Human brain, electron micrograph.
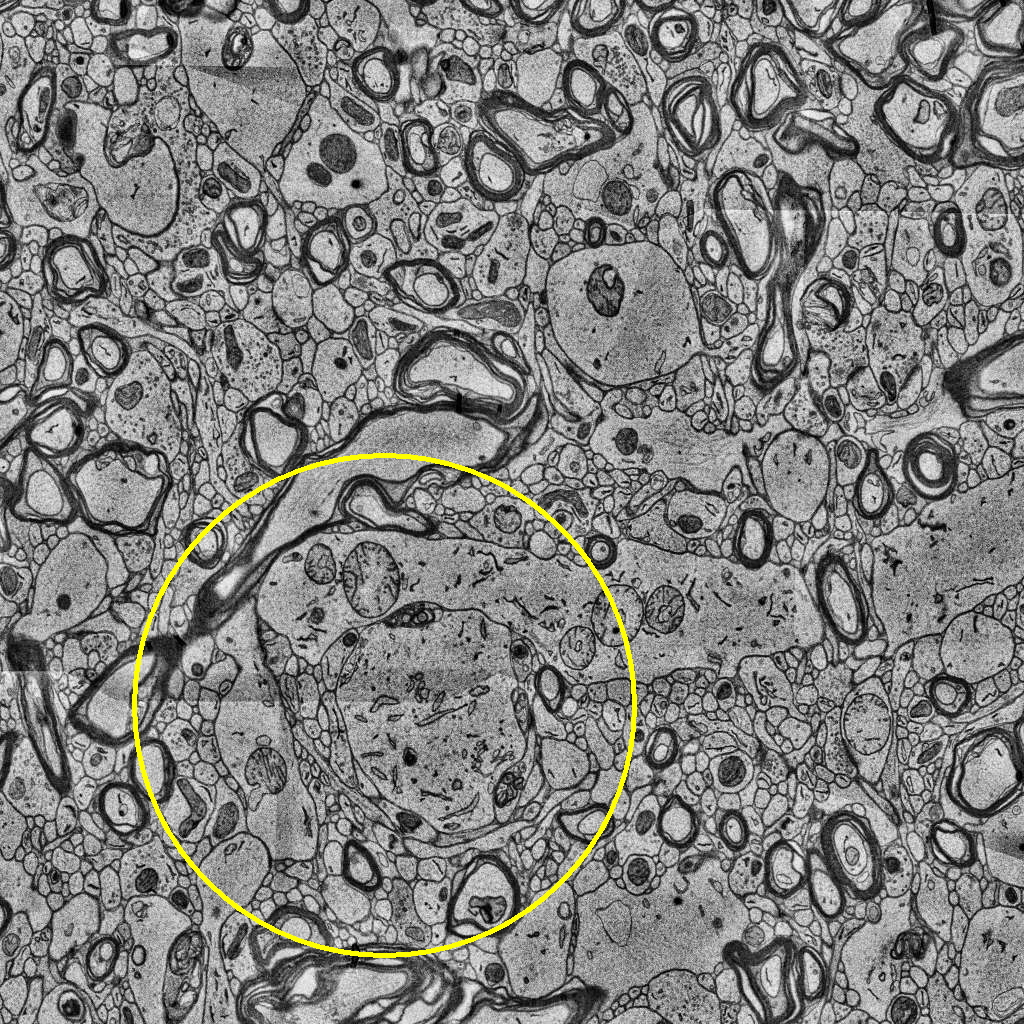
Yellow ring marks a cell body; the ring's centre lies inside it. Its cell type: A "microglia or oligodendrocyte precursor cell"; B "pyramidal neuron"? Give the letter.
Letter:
A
